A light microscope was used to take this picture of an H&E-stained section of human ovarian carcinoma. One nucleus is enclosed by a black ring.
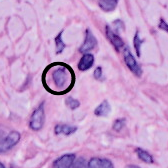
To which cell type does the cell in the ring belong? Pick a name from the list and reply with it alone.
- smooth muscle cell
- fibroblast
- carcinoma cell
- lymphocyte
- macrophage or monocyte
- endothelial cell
fibroblast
